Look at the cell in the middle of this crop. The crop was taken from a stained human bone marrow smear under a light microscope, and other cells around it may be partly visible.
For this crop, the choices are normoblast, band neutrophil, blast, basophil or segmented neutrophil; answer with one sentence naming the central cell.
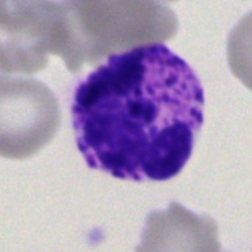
The cell nearest the centre of this crop is a basophil.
